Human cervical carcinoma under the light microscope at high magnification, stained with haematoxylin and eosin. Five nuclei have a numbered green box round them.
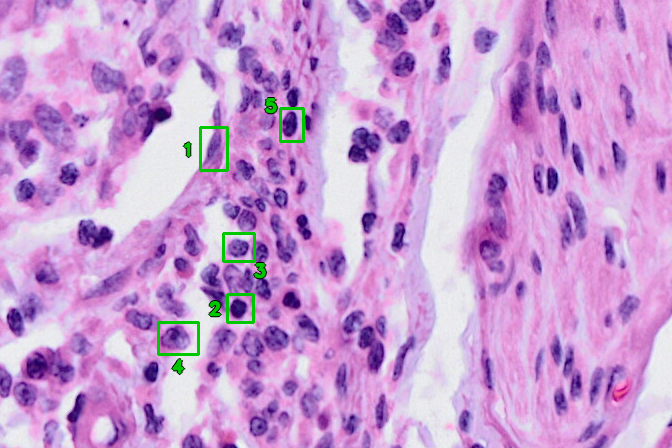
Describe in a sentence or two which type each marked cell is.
Cell 1 is an endothelial cell. Cells 2, 3 and 5 are lymphocytes. Cell 4 is a macrophage or monocyte.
